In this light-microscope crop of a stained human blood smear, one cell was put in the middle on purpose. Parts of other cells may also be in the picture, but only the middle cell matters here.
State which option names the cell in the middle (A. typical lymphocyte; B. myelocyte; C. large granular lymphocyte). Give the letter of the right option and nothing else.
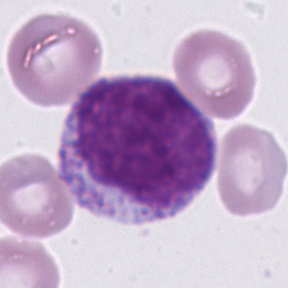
B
